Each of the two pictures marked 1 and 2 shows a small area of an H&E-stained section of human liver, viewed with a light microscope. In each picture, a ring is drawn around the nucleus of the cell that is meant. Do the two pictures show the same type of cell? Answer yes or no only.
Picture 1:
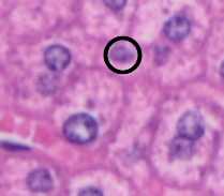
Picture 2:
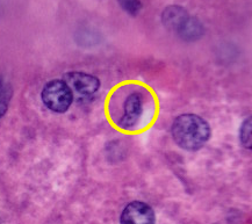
yes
